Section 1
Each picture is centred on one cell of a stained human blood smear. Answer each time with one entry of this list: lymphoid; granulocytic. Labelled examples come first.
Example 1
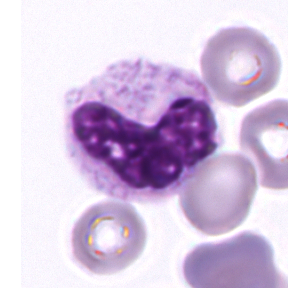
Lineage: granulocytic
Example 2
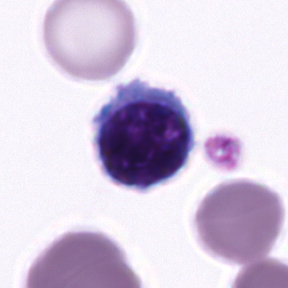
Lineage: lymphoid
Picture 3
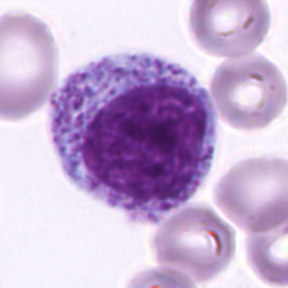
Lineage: granulocytic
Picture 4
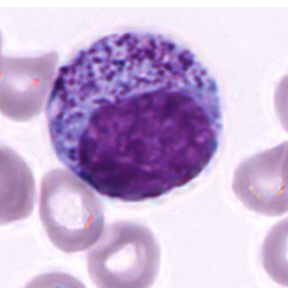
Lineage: granulocytic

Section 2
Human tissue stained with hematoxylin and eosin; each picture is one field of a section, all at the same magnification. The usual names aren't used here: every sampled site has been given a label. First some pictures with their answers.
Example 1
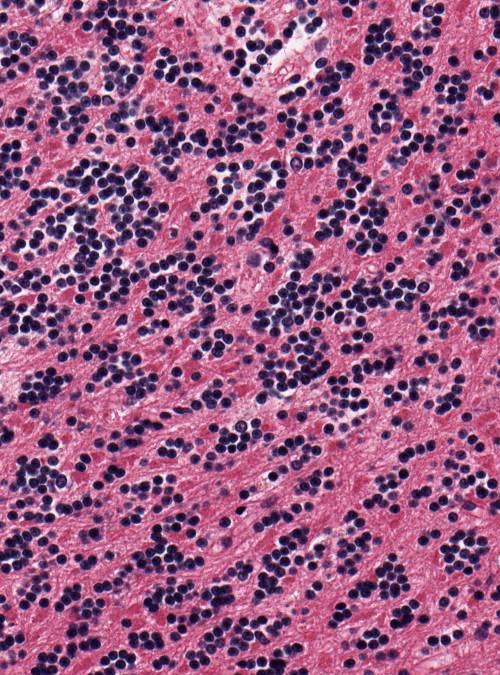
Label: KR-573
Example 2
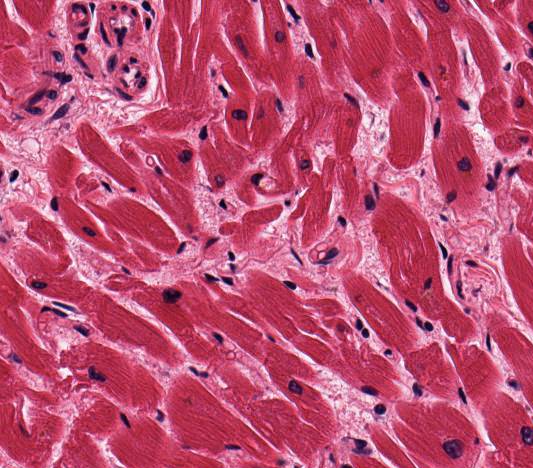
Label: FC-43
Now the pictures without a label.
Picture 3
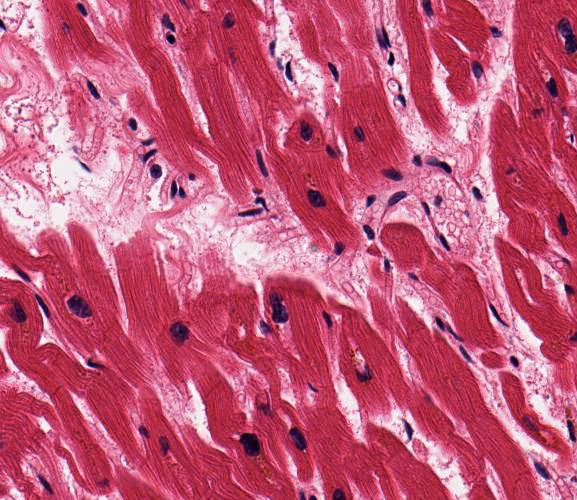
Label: FC-43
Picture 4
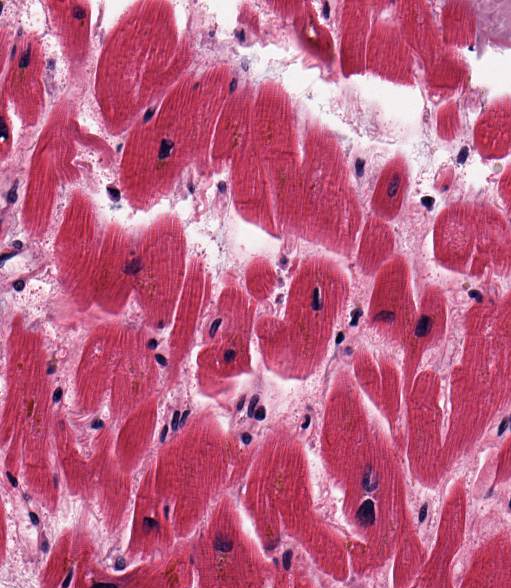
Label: FC-43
